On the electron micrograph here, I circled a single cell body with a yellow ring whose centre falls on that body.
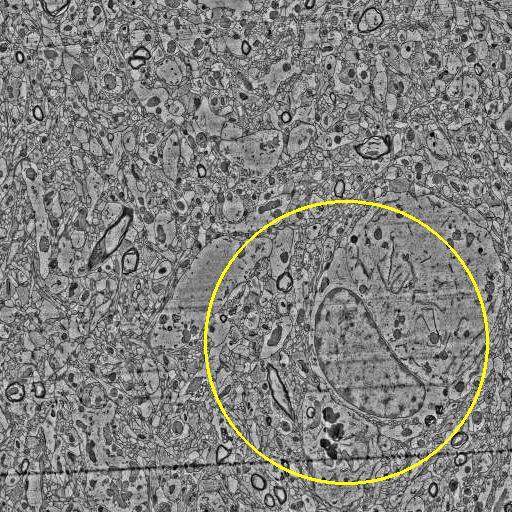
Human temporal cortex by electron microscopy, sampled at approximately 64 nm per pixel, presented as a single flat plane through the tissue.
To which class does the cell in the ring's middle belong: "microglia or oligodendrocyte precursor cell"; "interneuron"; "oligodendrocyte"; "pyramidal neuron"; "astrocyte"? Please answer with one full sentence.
In this picture, the cell body circled at the ring's centre belongs to a microglial cell or oligodendrocyte precursor cell.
